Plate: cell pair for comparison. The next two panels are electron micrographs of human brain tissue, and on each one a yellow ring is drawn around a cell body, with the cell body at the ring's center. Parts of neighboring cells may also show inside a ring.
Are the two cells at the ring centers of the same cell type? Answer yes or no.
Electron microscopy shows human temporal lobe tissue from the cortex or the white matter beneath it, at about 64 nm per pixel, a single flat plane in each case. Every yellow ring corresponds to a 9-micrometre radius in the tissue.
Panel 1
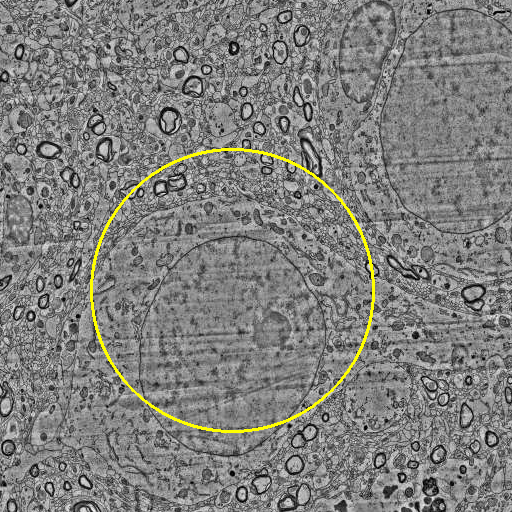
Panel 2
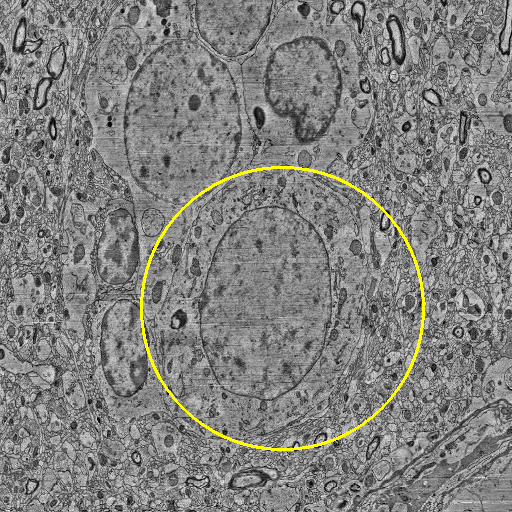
yes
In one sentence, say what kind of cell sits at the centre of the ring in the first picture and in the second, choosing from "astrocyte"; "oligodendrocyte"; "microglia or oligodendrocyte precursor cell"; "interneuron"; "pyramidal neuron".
The first and the second cell are each a pyramidal neuron.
